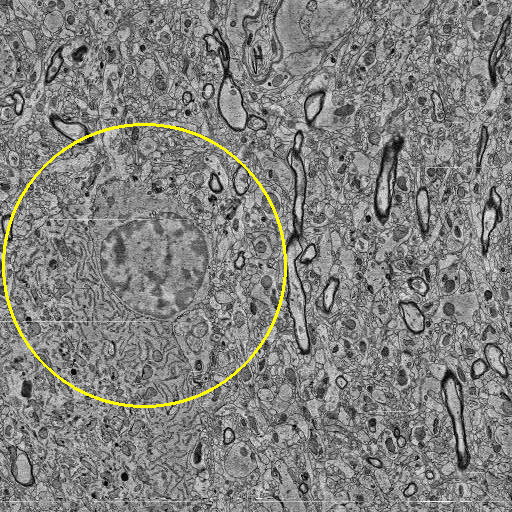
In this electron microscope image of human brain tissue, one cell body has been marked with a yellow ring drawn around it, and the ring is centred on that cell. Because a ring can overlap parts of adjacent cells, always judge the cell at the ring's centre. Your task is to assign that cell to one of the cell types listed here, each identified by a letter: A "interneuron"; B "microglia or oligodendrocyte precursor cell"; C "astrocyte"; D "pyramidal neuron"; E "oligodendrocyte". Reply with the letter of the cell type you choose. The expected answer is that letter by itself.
E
